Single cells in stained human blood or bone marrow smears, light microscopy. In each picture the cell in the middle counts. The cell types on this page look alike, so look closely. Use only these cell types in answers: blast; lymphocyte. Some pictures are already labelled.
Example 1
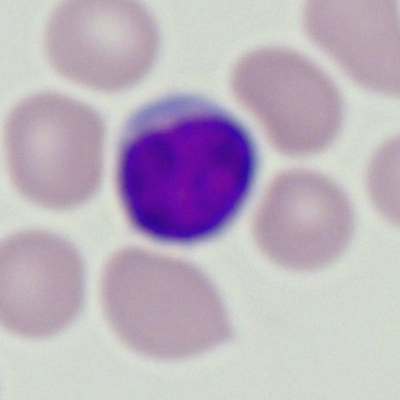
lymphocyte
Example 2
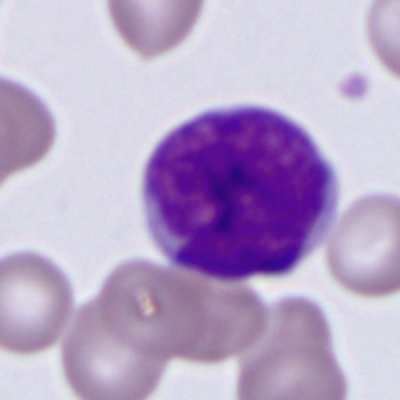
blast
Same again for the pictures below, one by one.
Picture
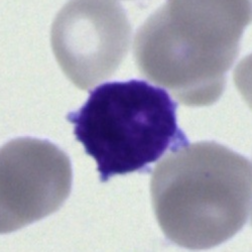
blast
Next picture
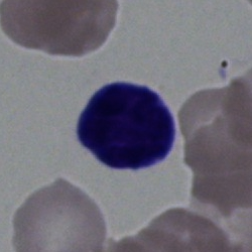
lymphocyte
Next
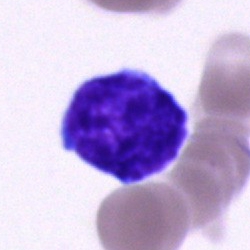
blast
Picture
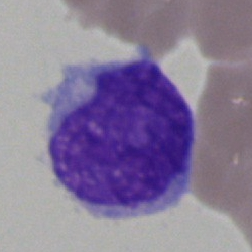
blast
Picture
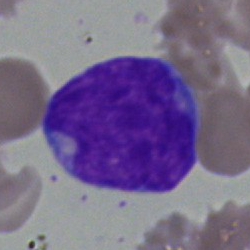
blast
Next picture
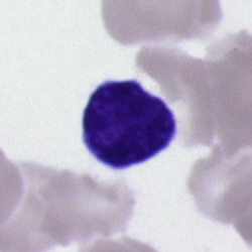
lymphocyte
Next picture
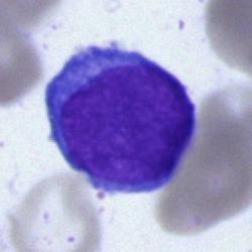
blast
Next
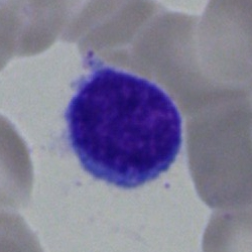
lymphocyte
